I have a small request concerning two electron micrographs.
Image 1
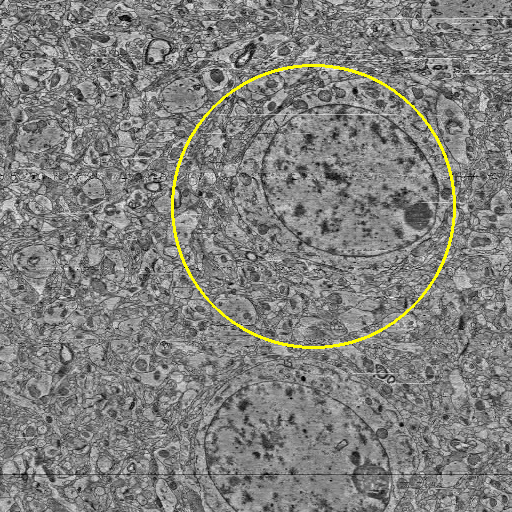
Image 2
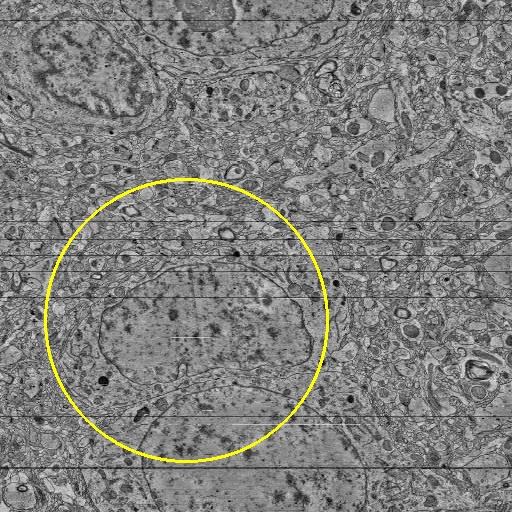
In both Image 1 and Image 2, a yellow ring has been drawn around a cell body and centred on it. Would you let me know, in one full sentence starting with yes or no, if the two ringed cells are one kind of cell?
Yes, the cells ringed in Image 1 and Image 2 are one kind of cell.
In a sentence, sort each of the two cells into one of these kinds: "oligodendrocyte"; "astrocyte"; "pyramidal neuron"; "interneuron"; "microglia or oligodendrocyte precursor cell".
Both rings mark a pyramidal neuron, one in each picture.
